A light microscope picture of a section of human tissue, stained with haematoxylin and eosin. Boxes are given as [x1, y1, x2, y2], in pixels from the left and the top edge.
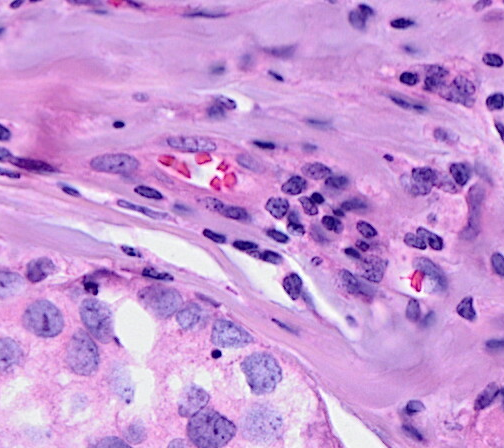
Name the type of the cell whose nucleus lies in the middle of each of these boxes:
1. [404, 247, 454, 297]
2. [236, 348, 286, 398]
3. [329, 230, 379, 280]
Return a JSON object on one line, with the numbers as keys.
{"1": "endothelial cell", "2": "carcinoma cell", "3": "lymphocyte"}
